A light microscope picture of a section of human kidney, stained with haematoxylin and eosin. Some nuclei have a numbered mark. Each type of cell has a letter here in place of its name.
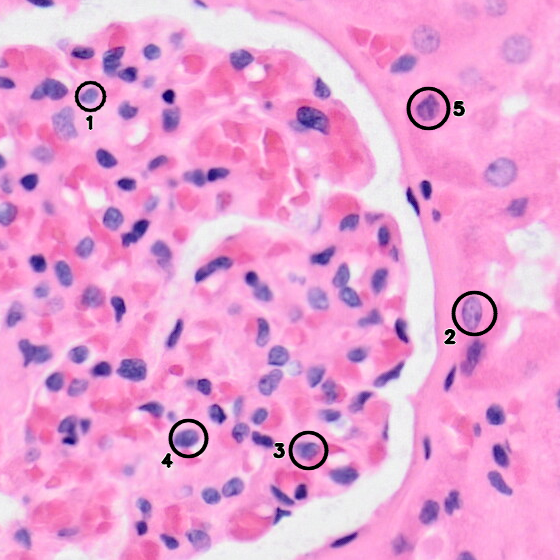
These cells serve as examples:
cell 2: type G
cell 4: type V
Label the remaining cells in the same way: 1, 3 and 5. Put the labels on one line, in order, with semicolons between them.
type V; type V; type G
